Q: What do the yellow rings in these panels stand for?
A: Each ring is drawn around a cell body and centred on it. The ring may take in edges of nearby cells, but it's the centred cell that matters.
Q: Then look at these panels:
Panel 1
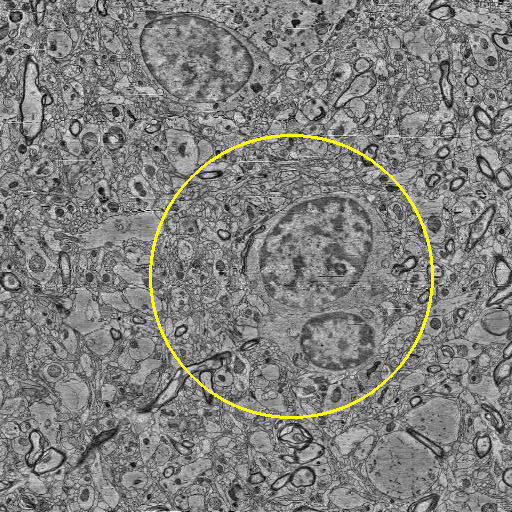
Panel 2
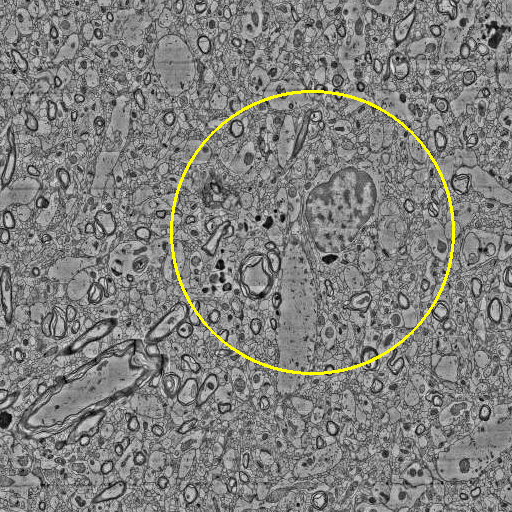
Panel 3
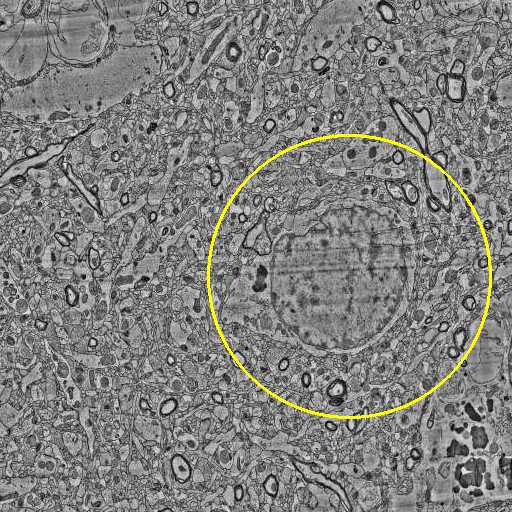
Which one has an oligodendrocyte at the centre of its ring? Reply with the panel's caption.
Panel 1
